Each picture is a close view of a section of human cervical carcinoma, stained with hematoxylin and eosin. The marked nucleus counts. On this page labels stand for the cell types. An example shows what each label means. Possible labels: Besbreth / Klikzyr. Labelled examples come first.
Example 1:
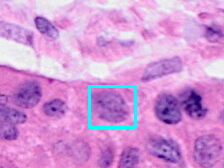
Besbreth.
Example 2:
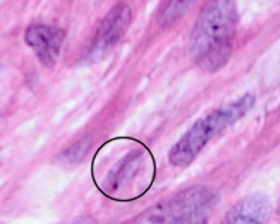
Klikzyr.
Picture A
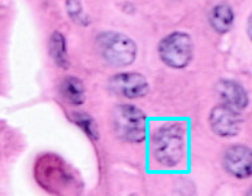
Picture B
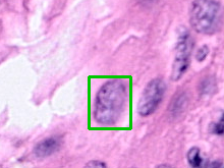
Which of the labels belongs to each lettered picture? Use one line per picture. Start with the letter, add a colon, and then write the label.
A: Besbreth.
B: Besbreth.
